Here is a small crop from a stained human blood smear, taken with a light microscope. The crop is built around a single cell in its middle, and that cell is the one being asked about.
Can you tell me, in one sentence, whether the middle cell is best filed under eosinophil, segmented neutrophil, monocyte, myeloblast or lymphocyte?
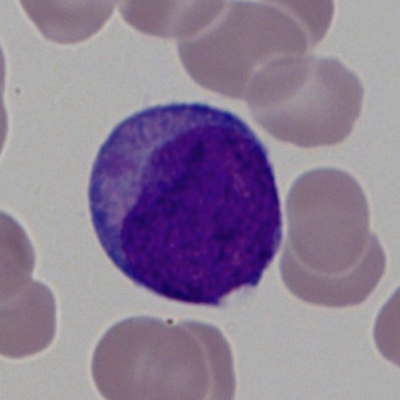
In the middle of this smear crop, the cell is a myeloblast.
